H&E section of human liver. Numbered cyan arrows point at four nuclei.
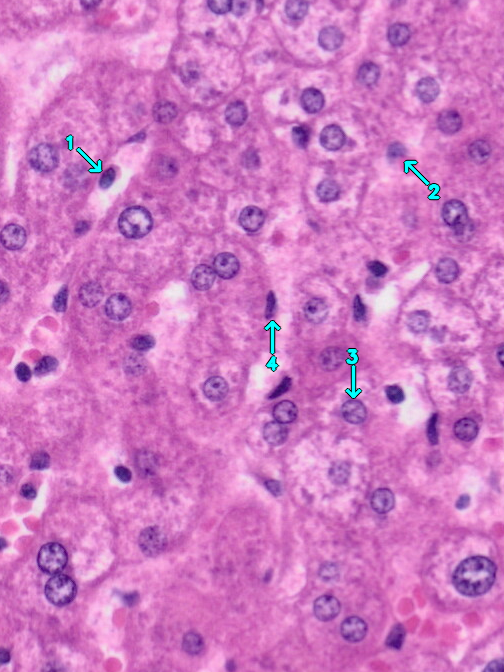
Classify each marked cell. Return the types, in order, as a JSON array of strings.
["lymphocyte", "endothelial cell", "hepatocyte", "endothelial cell"]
